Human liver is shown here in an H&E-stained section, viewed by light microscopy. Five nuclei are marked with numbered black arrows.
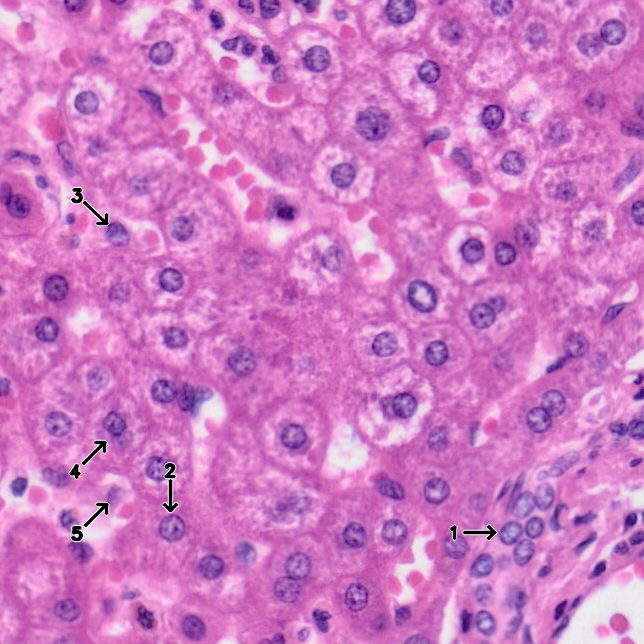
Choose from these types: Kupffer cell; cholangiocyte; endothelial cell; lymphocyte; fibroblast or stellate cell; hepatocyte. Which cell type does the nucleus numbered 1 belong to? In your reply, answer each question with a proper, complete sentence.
The marked cell bearing number 1 is a cholangiocyte.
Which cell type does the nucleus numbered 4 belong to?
The cell indicated with the number 4 is classed as a hepatocyte.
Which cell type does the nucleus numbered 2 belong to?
Looking at the numbered marks, cell 2 is a hepatocyte.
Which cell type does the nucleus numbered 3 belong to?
The cell referred to as 3 is a Kupffer cell.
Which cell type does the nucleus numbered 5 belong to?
The marked cell with the number 5 is recognised as a Kupffer cell.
